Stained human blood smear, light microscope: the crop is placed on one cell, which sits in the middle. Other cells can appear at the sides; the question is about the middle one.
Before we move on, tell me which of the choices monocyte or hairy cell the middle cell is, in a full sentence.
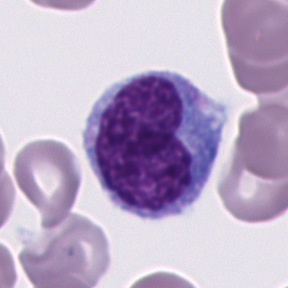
In the middle of this smear crop, the cell is a monocyte.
